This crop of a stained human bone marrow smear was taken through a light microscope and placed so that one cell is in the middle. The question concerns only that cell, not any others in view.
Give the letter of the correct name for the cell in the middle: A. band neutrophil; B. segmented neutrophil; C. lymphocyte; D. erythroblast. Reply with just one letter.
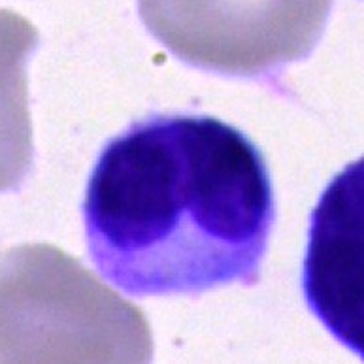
A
